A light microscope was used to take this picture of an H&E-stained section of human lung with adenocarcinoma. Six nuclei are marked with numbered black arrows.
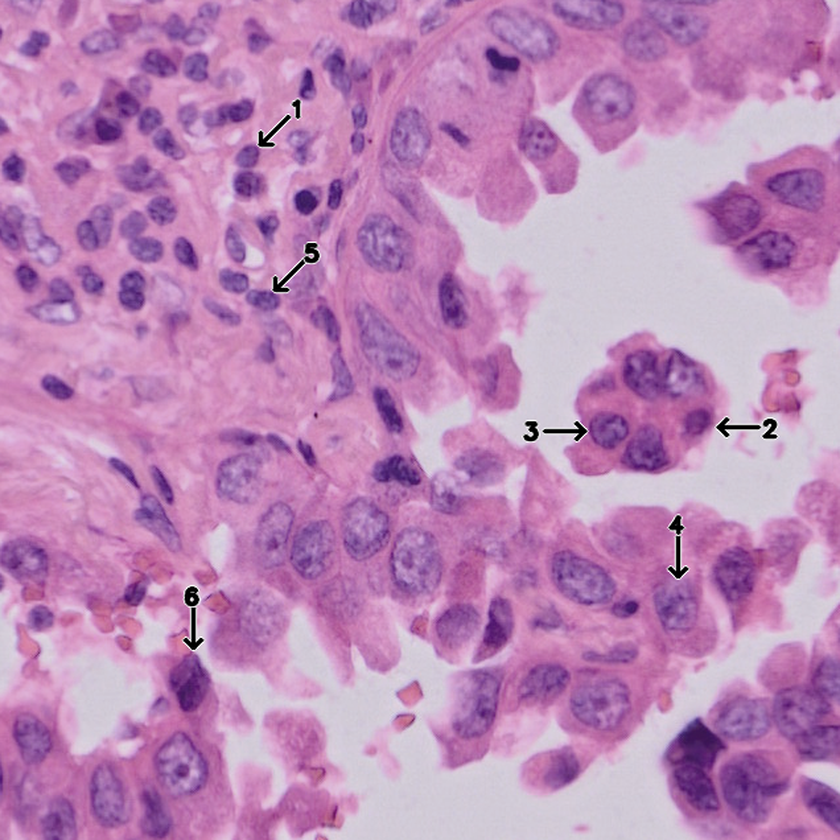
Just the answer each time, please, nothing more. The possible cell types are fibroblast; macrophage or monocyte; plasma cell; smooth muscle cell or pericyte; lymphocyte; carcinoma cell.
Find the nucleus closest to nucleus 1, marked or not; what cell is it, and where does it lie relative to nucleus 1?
a plasma cell; below nucleus 1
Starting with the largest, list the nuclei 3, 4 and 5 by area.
4, 3, 5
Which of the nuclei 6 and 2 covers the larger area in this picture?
6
